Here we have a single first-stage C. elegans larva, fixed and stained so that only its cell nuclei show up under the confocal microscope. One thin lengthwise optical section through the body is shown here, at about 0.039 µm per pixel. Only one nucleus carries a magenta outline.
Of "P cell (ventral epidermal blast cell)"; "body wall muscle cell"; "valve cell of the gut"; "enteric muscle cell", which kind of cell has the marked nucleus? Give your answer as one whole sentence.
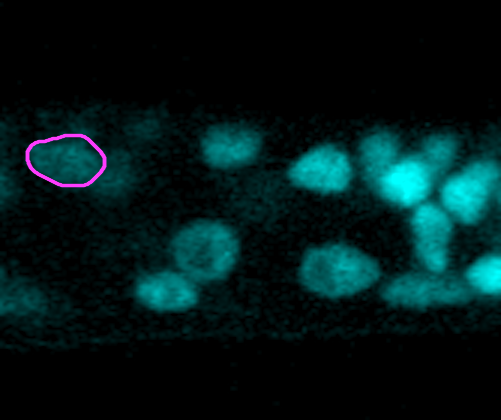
The marked nucleus belongs to a P cell (ventral epidermal blast cell).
